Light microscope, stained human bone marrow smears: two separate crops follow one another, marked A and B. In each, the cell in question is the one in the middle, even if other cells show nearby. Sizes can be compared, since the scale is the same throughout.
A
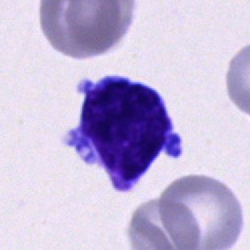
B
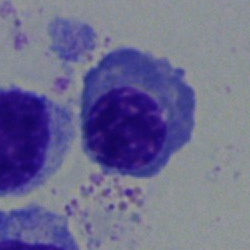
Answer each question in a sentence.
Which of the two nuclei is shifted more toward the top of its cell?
In crop A the nucleus is shifted more toward the top.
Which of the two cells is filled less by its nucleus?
In crop B the nucleus takes up the smaller part of its cell.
